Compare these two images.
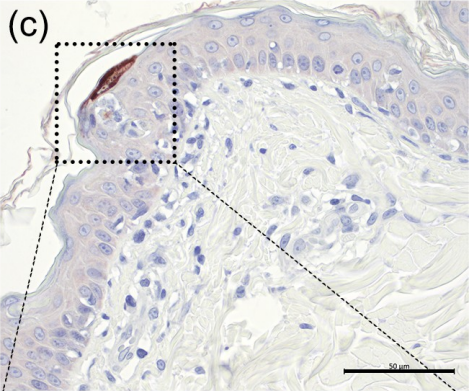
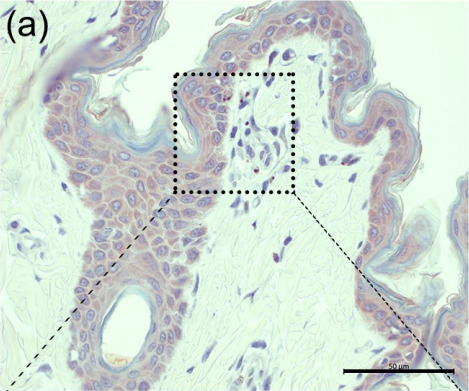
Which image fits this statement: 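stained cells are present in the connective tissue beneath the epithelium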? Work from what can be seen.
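The second image. First image: the connective tissue below the epithelium shows only blue nuclei, no brown-stained cells. Second image: small brown-stained cells lie in the connective tissue between epithelial ridges.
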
